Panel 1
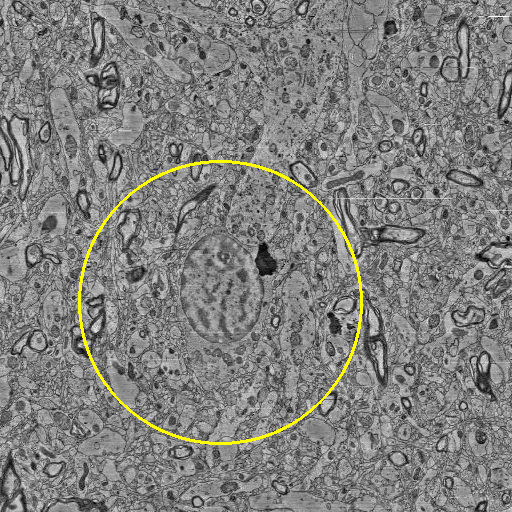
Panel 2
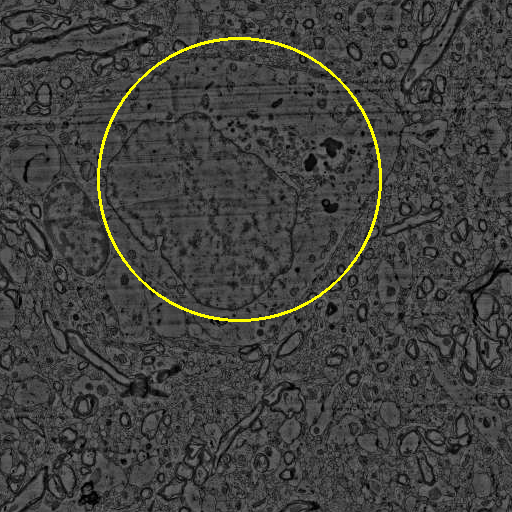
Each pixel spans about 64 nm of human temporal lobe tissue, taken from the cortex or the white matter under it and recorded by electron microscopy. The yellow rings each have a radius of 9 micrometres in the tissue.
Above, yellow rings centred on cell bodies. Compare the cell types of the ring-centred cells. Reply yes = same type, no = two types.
no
